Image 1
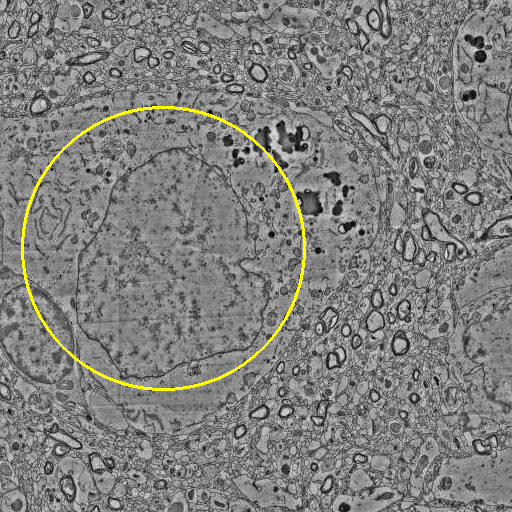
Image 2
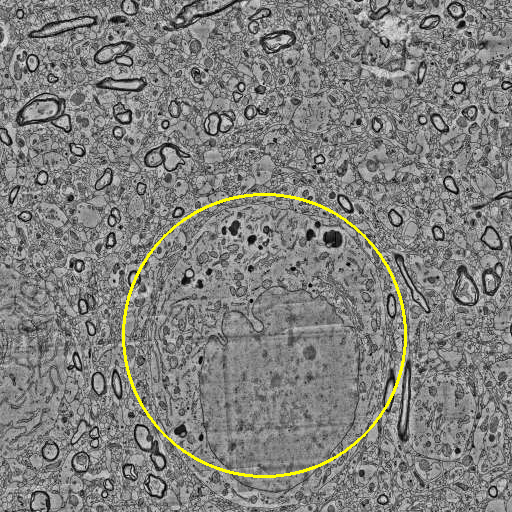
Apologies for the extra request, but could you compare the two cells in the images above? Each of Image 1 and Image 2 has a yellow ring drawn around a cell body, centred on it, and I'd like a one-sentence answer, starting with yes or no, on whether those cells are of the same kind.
Yes, both cells are of the same kind.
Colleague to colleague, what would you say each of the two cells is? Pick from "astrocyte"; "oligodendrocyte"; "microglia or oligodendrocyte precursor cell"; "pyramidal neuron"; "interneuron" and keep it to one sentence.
Each cell, in the first picture and the second, is a pyramidal neuron.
